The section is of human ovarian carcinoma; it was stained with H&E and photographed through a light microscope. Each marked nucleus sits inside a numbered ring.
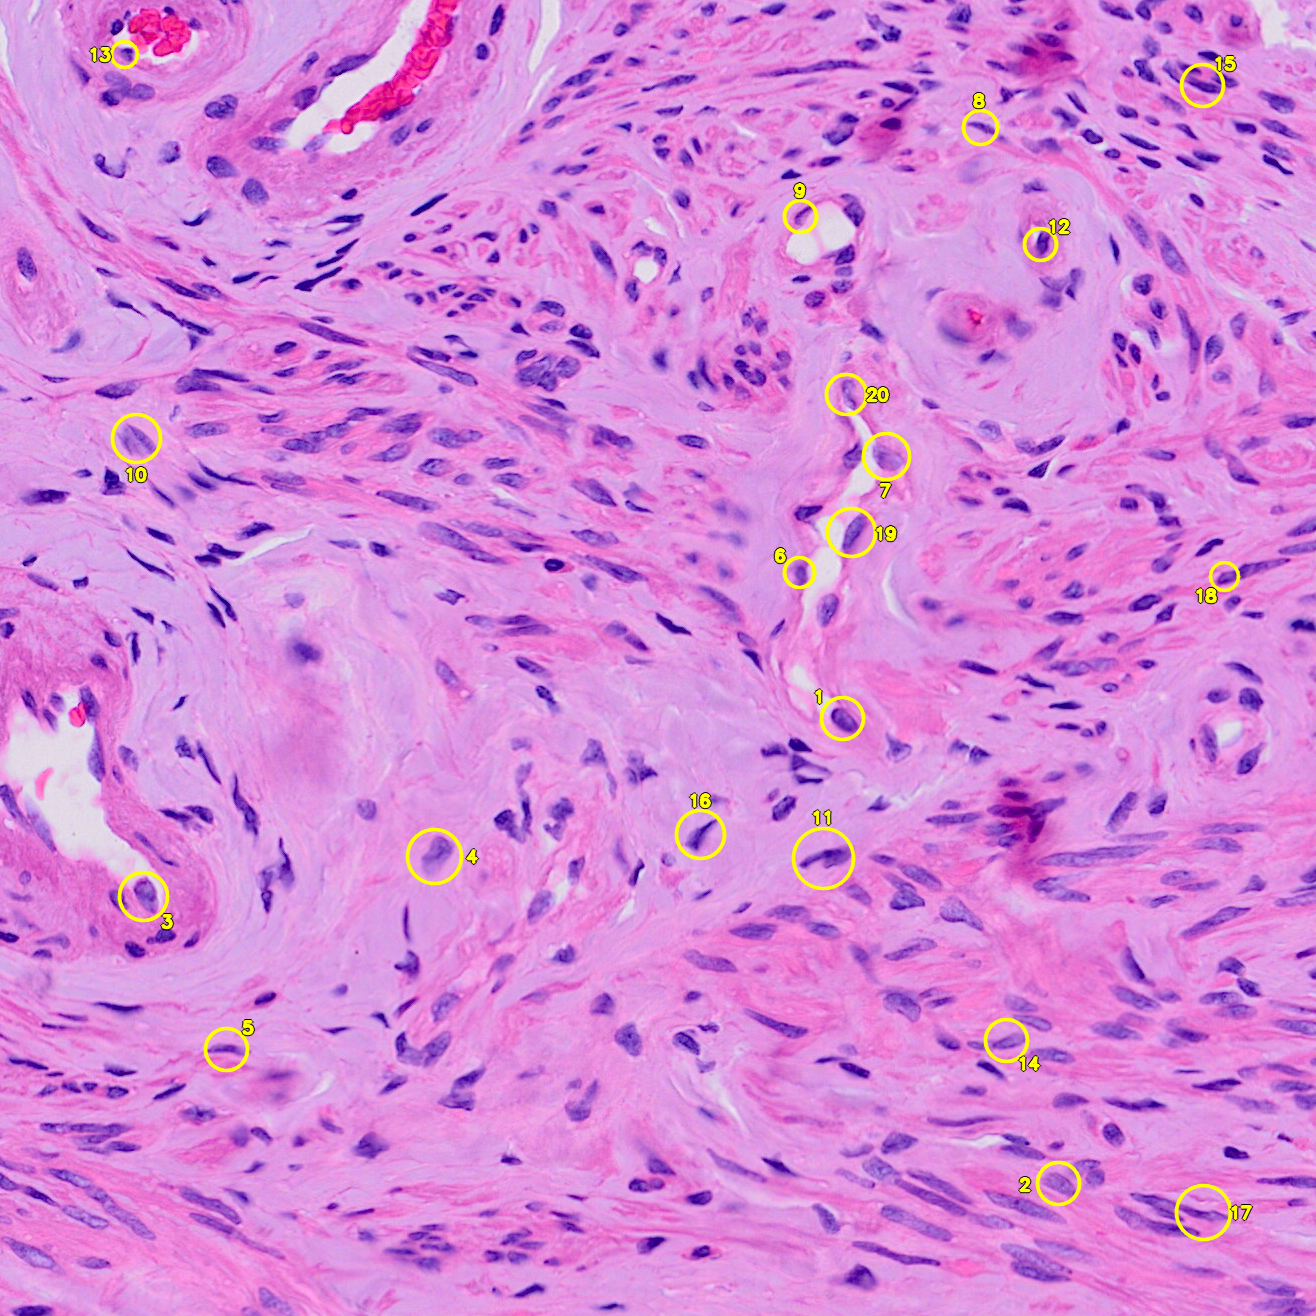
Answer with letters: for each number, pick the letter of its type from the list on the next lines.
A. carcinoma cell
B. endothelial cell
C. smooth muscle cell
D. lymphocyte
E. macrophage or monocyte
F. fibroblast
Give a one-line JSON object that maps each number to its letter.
{"1": "B", "2": "C", "3": "B", "4": "F", "5": "C", "6": "B", "7": "B", "8": "F", "9": "B", "10": "F", "11": "F", "12": "B", "13": "B", "14": "C", "15": "C", "16": "F", "17": "C", "18": "C", "19": "B", "20": "B"}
